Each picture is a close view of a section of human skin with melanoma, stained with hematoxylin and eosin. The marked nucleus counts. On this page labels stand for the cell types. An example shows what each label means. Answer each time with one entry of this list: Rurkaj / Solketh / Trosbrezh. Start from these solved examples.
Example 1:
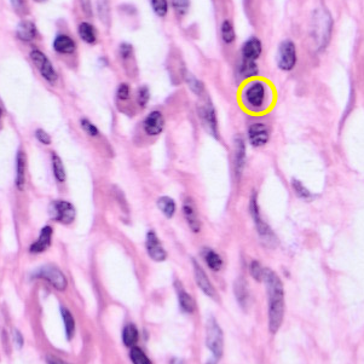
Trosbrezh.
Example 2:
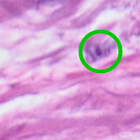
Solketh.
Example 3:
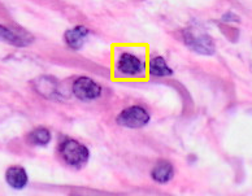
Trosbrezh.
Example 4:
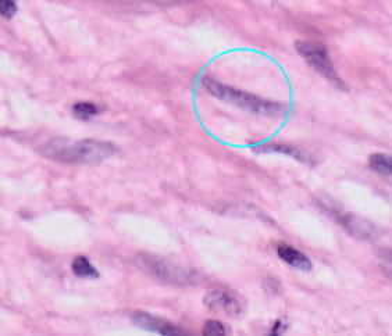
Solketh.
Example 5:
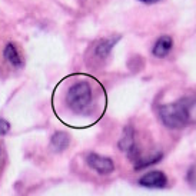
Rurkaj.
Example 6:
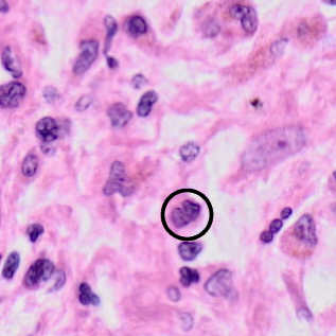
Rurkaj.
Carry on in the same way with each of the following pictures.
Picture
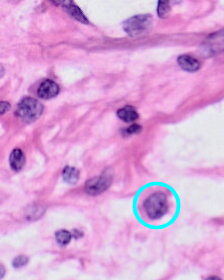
Rurkaj.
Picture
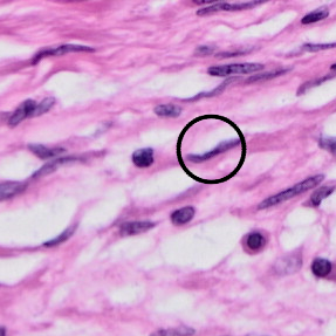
Solketh.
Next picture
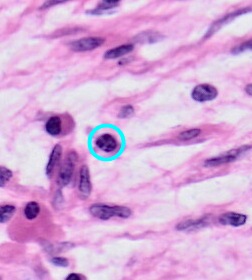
Trosbrezh.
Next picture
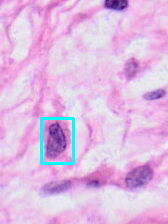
Rurkaj.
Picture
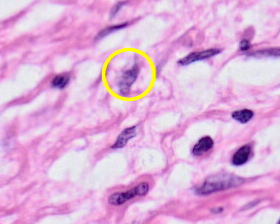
Solketh.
